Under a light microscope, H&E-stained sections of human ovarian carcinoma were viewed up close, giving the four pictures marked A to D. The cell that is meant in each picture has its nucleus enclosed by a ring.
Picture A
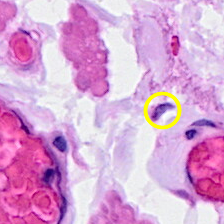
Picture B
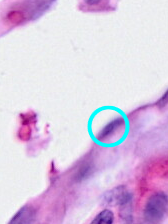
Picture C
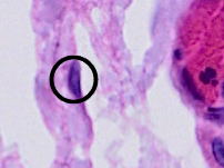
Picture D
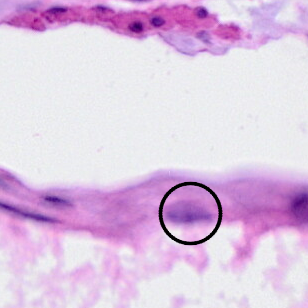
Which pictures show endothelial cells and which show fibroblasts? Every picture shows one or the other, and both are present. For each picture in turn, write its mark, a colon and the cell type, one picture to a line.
A: fibroblast
B: endothelial cell
C: fibroblast
D: endothelial cell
